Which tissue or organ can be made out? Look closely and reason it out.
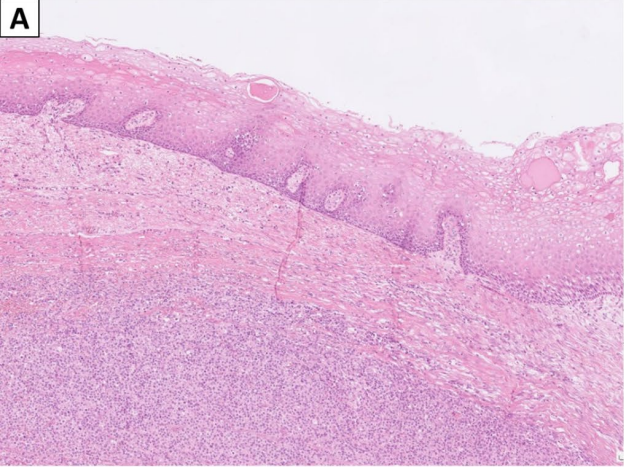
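A multilayered epithelium with rete ridges covers the surface. Flattened cells lie at the surface of the epithelium.
Answer: stratified squamous epithelium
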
